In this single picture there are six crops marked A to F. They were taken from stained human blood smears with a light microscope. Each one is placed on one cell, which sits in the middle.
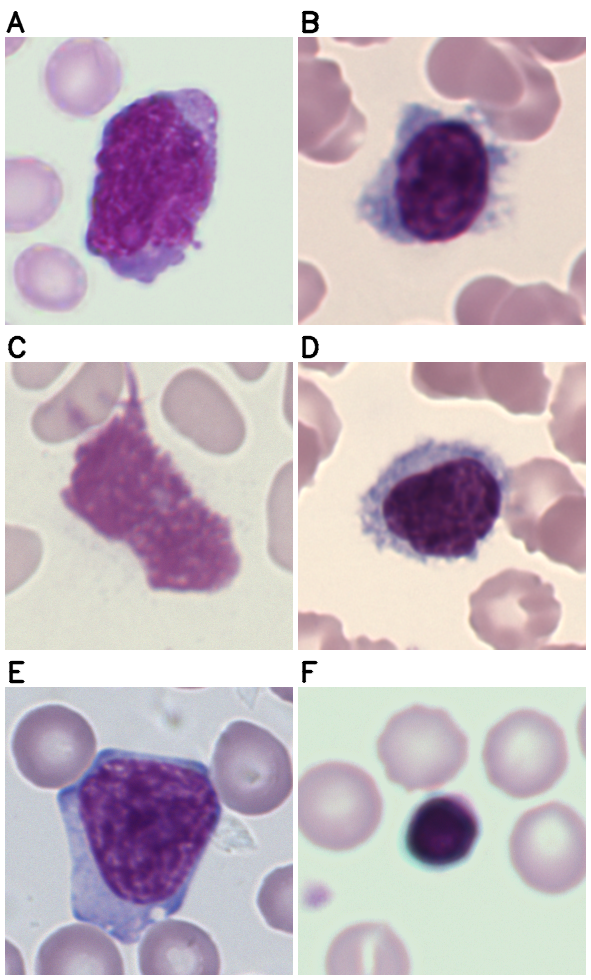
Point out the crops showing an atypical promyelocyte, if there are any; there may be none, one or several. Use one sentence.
No other crop besides crop A shows an atypical promyelocyte.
